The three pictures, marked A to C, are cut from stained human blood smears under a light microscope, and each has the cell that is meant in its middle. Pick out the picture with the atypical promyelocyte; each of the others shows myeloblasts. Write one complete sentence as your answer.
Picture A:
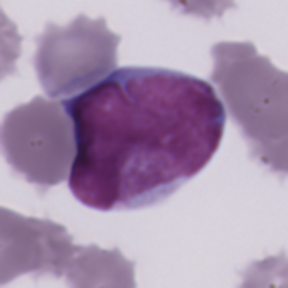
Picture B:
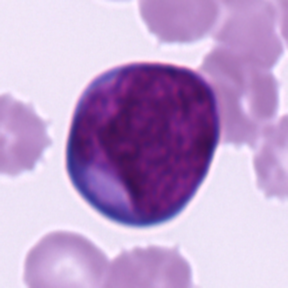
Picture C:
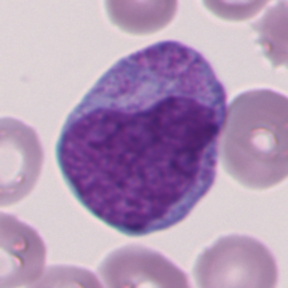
The picture with the atypical promyelocyte is C.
